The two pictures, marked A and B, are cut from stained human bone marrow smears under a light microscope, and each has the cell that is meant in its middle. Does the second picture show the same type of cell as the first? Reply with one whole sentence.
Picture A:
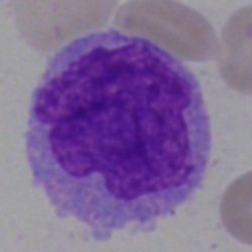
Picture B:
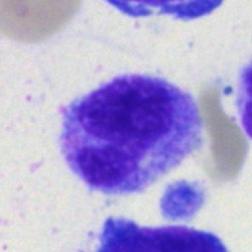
Yes, the two pictures both show monocytes.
